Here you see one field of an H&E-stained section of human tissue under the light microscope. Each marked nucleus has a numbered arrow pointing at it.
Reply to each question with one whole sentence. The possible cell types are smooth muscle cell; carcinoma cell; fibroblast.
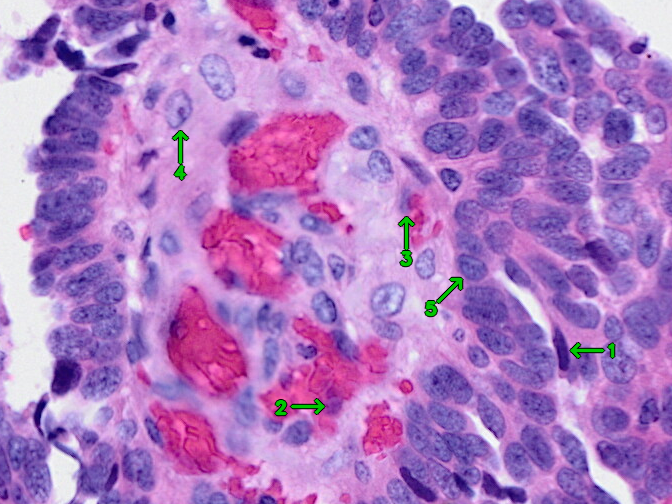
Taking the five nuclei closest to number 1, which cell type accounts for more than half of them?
Most of the five nuclei nearest to number 1 are those of carcinoma cells.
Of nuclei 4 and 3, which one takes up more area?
Nucleus 4 is the larger one, covering about 1.5 times the area of nucleus 3.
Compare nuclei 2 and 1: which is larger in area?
Nucleus 1 is the larger one, covering about 2 times the area of nucleus 2.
